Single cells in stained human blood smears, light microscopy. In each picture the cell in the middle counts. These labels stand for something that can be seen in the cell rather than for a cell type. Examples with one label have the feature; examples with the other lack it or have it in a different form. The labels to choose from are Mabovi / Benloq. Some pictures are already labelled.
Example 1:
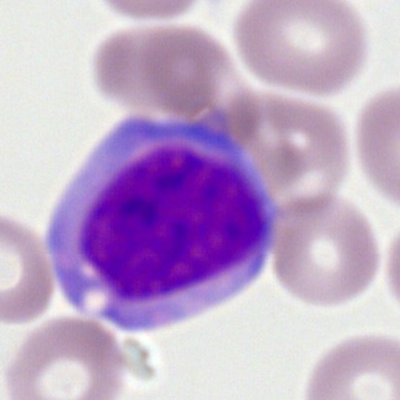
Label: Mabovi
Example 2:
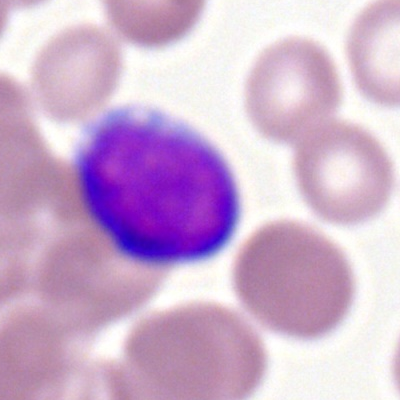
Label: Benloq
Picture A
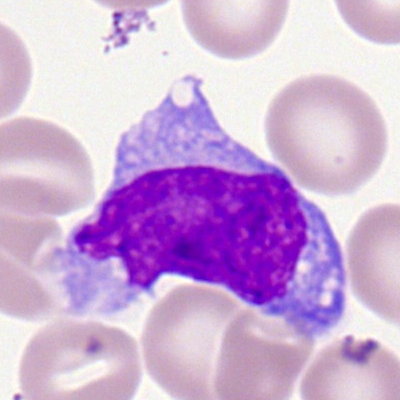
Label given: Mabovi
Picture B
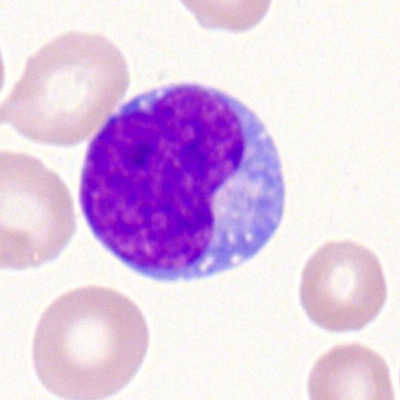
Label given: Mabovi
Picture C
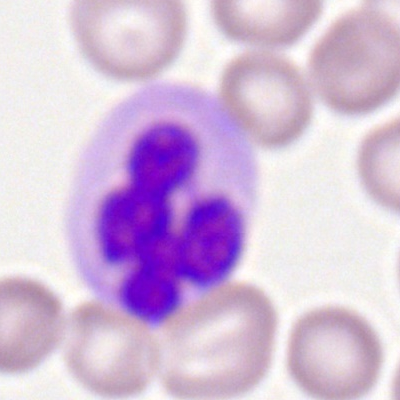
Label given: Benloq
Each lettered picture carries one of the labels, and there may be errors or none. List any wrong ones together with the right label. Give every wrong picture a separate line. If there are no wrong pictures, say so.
None of the labels needs changing.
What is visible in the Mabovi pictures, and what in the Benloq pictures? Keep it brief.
Mabovi: vacuoles present; Benloq: no vacuoles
